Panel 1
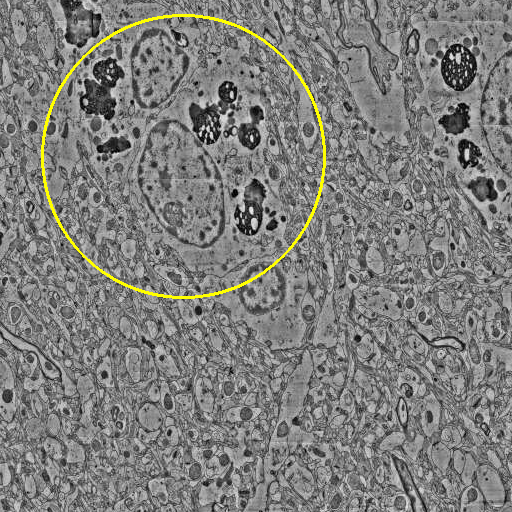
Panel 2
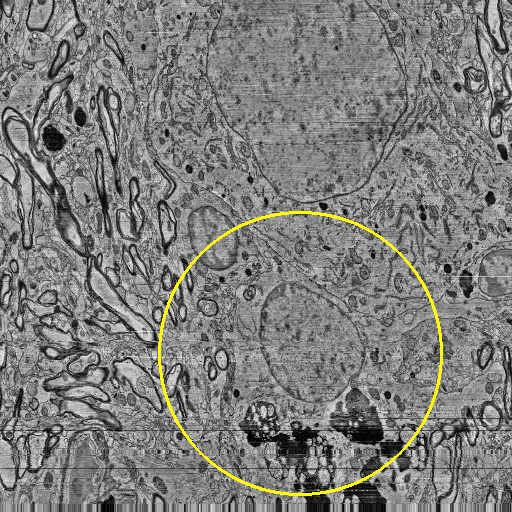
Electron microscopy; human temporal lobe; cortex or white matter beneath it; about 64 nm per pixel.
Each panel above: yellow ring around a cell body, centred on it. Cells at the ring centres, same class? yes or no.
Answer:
yes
